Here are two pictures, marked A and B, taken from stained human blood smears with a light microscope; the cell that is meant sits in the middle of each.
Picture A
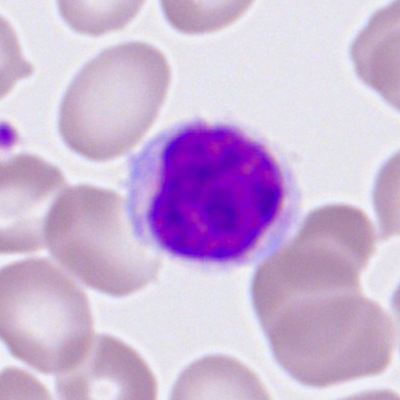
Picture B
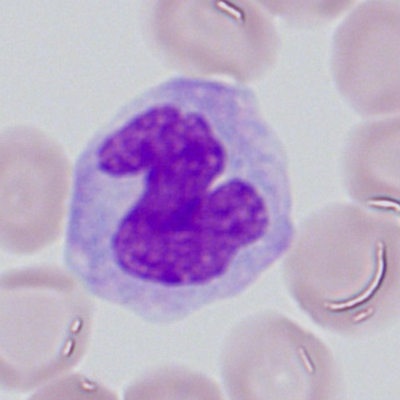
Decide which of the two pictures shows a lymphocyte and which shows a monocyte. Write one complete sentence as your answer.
In picture A the cell is a lymphocyte; in picture B, a monocyte.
